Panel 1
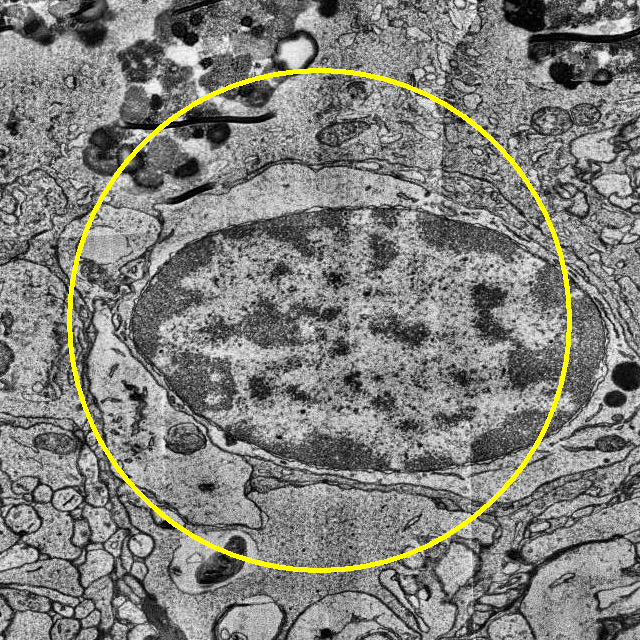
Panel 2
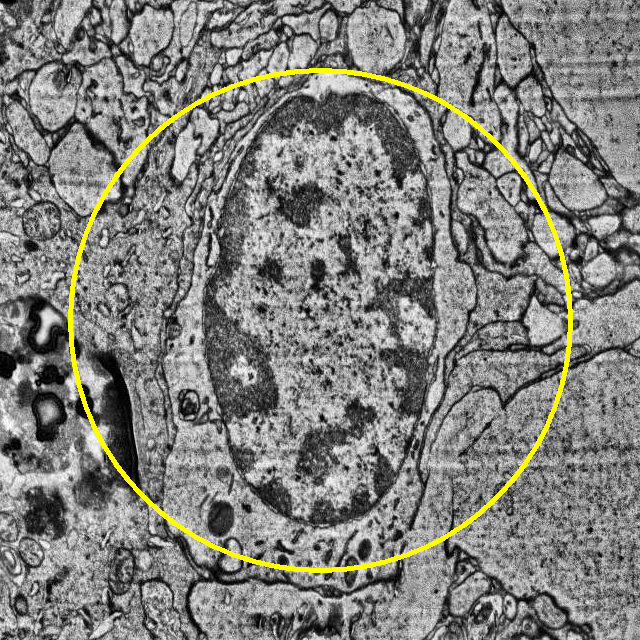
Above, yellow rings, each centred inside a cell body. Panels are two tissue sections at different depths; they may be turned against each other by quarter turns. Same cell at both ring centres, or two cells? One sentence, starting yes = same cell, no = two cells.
Yes, both rings identify a single, shared cell.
